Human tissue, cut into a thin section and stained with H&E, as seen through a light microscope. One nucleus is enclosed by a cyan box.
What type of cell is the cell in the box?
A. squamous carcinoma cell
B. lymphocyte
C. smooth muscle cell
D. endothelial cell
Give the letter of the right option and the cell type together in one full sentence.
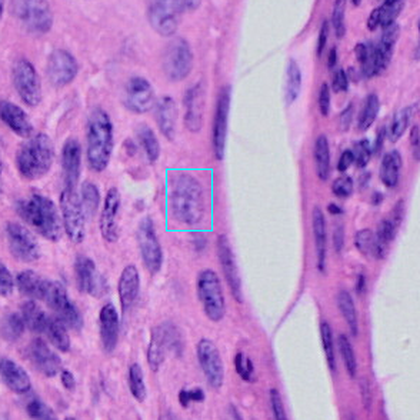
In short, option A: the cell in the box is a squamous carcinoma cell.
